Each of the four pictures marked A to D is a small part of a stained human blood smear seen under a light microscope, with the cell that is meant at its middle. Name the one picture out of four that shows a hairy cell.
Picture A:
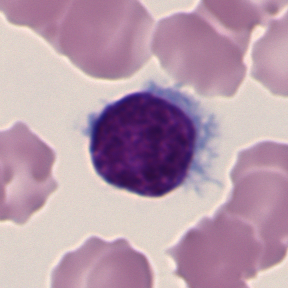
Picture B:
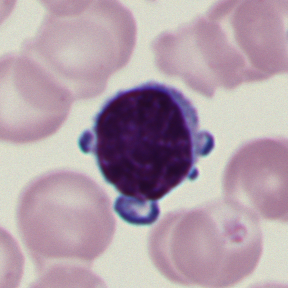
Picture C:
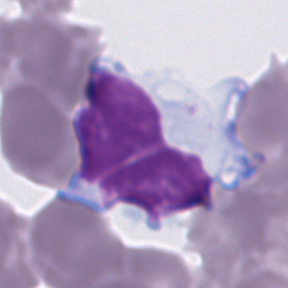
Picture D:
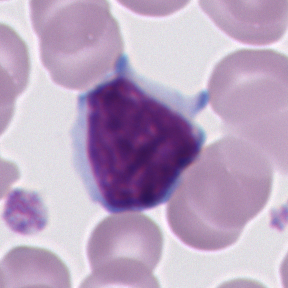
A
